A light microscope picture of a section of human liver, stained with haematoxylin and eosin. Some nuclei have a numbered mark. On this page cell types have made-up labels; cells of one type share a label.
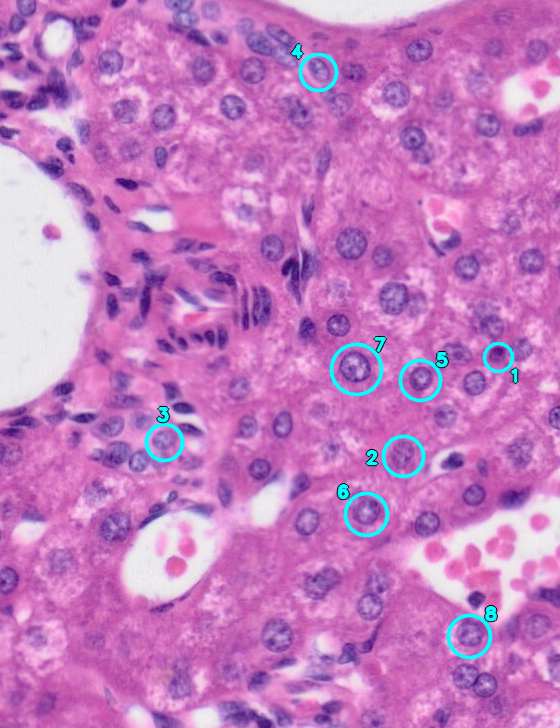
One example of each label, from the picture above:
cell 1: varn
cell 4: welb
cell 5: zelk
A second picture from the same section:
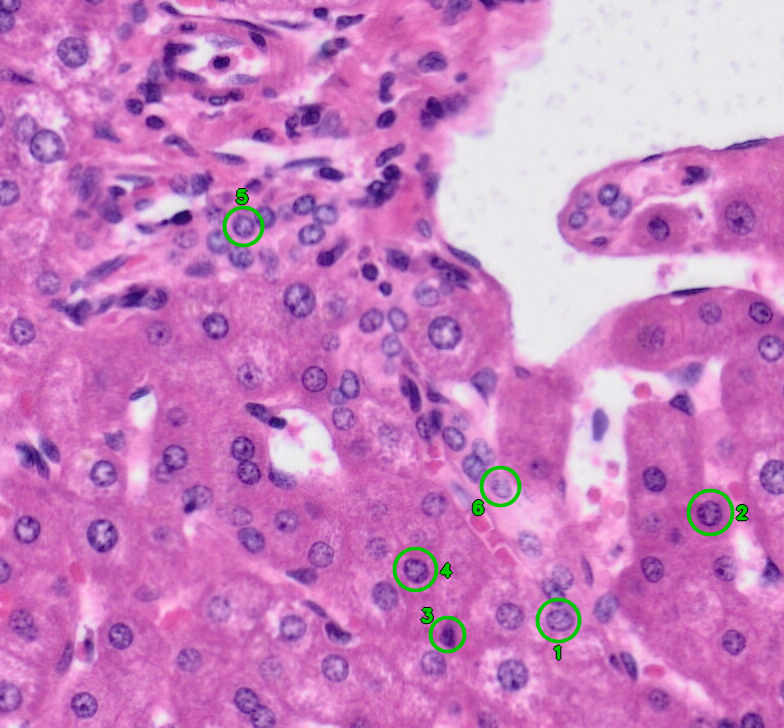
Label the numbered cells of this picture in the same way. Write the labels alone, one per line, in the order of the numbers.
welb
zelk
varn
zelk
welb
welb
